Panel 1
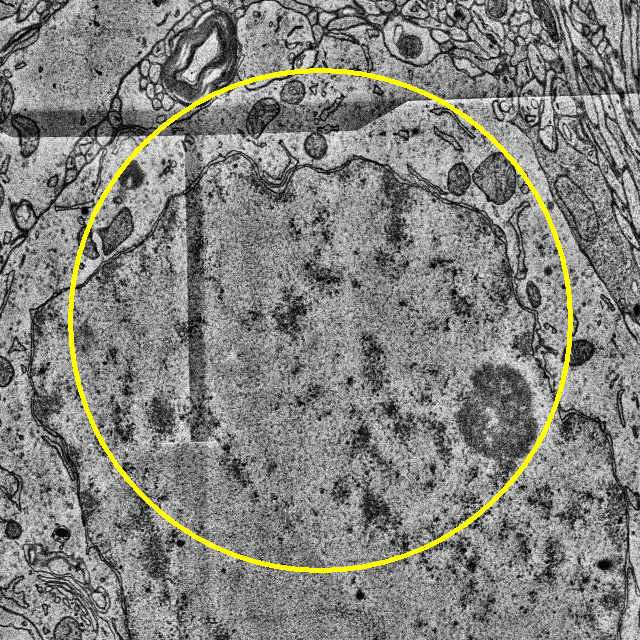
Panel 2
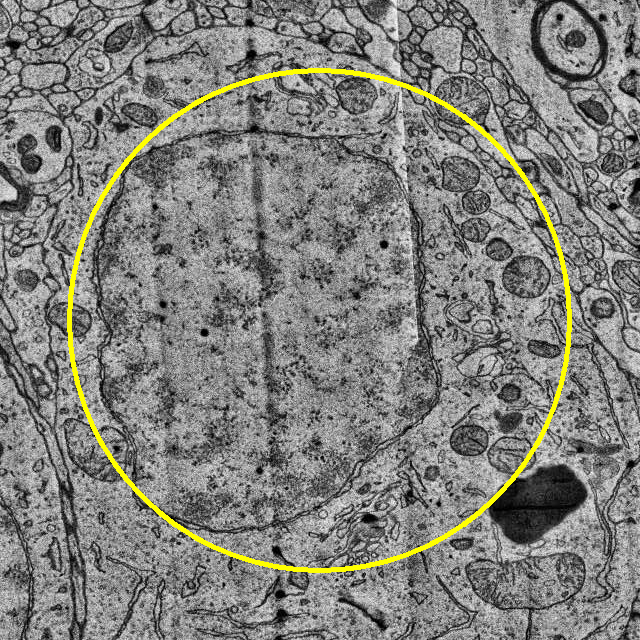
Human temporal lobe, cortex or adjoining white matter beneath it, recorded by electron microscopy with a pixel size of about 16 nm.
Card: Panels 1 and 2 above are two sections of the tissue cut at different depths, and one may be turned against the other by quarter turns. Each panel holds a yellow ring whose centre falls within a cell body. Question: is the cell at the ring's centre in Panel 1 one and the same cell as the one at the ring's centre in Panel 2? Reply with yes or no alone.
no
